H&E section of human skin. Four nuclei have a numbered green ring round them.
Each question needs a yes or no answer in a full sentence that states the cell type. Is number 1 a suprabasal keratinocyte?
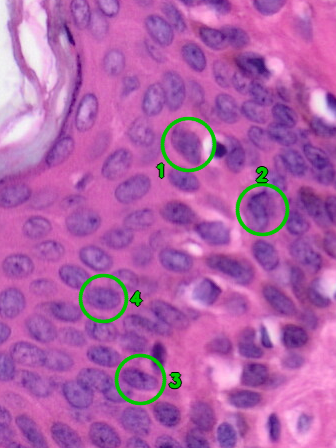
No, number 1 is not a suprabasal keratinocyte but a basal keratinocyte.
